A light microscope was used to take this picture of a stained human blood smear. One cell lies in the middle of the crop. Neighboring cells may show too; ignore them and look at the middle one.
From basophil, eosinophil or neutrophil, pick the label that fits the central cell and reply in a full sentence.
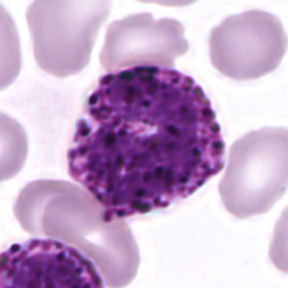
The centrally placed cell is classified as a basophil.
